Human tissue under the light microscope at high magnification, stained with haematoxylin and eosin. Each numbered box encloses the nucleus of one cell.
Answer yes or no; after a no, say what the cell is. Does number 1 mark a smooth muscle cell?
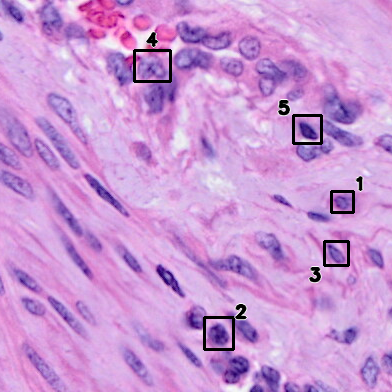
Yes.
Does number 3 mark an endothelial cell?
No, it is a smooth muscle cell.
